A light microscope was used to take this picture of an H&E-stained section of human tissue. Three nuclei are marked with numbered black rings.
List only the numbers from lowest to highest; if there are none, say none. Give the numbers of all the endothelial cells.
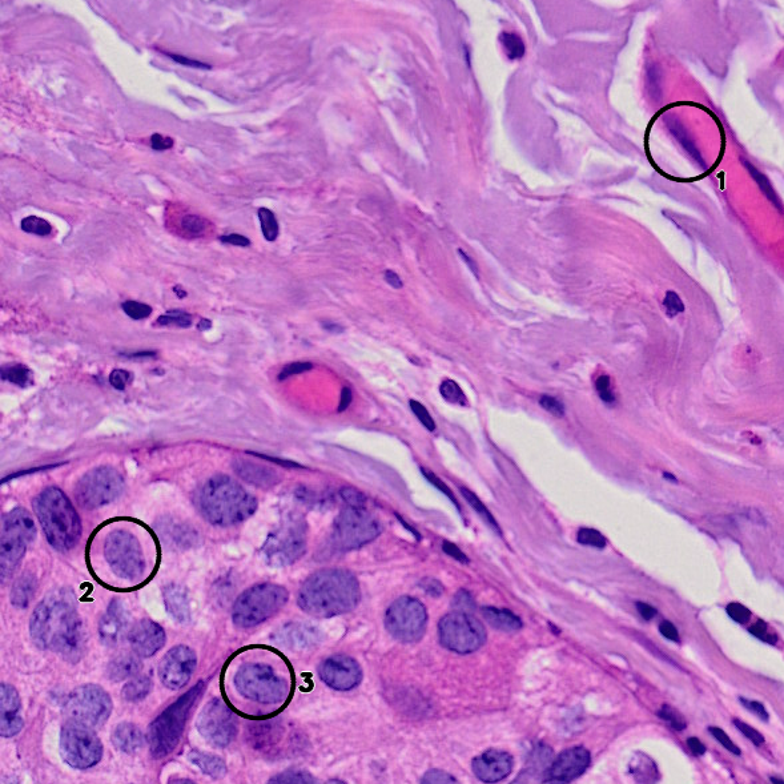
1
